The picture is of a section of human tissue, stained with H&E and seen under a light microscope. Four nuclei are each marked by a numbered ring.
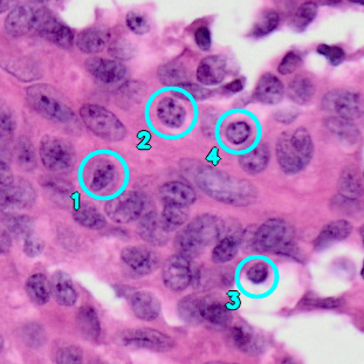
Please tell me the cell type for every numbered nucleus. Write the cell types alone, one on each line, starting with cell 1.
macrophage or monocyte
macrophage or monocyte
carcinoma cell
macrophage or monocyte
